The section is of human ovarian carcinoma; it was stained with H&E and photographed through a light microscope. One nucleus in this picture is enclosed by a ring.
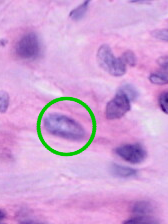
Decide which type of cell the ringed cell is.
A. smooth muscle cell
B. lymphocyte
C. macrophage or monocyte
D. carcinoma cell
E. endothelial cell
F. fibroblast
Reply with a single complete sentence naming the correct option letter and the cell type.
Option E holds, since the ringed cell is an endothelial cell.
